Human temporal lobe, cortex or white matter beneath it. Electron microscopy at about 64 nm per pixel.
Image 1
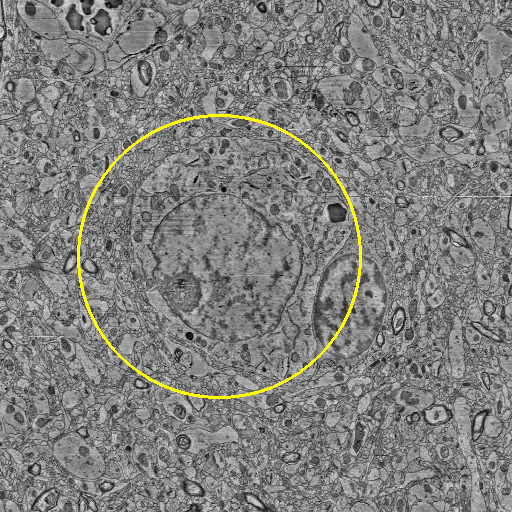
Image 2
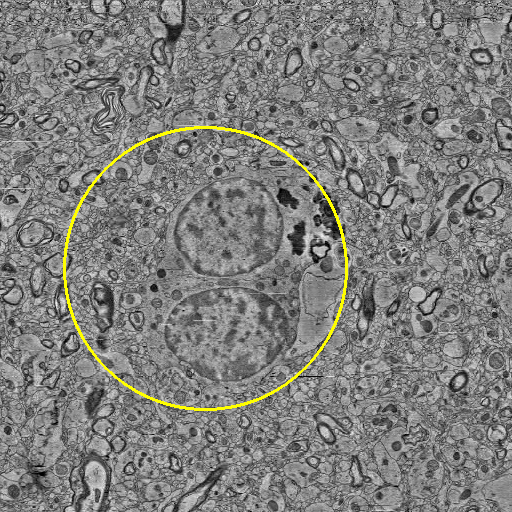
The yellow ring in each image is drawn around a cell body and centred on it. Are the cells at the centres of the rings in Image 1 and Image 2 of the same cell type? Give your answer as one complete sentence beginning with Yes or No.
No, the two cells are of two separate types.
